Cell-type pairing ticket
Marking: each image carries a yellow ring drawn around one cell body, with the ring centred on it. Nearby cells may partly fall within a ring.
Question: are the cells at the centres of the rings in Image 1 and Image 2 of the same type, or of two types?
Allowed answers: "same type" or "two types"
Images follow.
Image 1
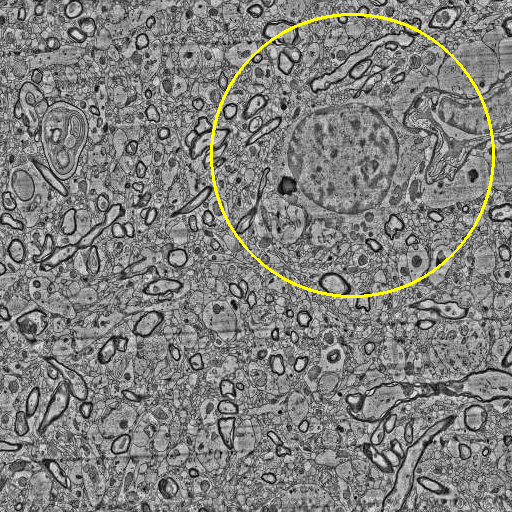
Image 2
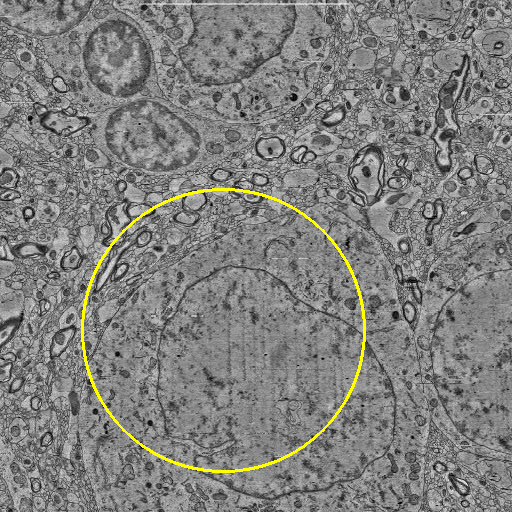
two types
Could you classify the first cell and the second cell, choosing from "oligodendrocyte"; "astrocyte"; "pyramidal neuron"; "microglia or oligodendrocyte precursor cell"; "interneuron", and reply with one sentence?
The second cell is a pyramidal neuron, while the first is an oligodendrocyte.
